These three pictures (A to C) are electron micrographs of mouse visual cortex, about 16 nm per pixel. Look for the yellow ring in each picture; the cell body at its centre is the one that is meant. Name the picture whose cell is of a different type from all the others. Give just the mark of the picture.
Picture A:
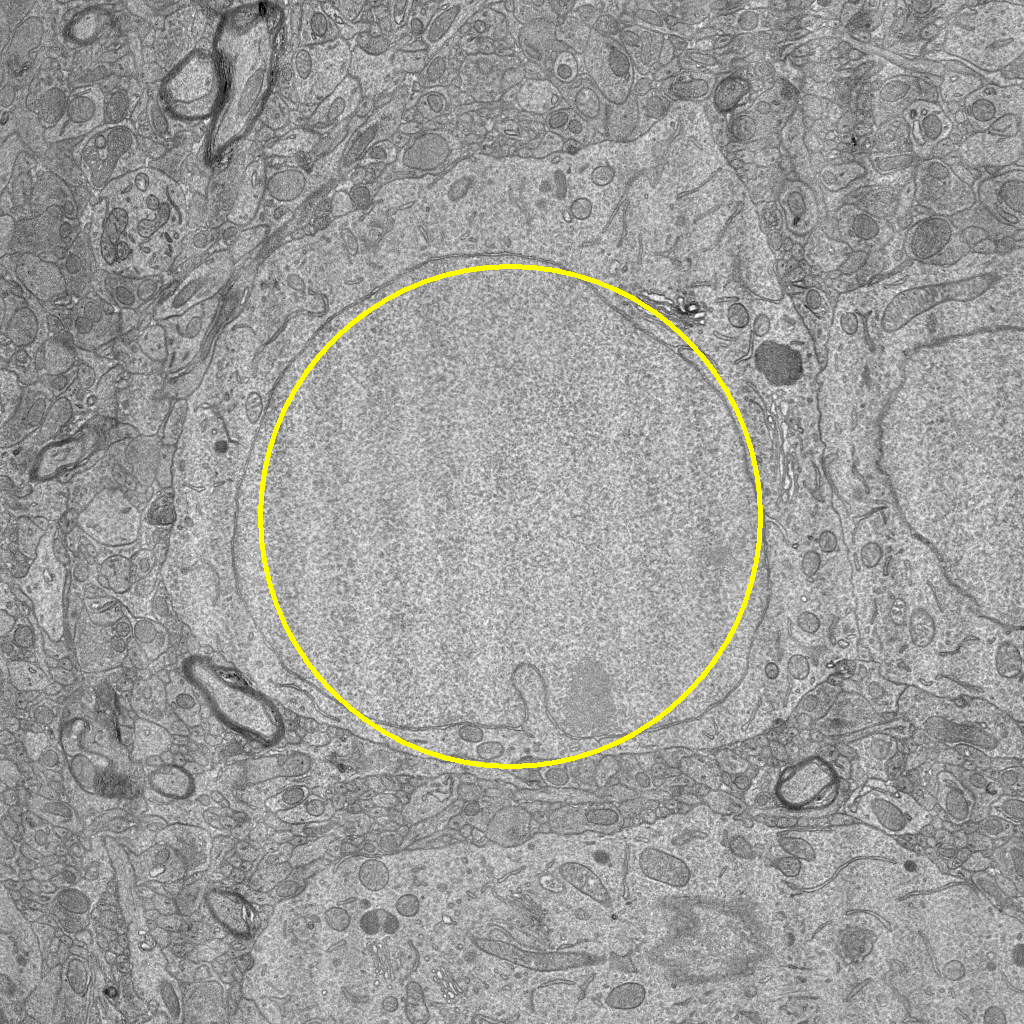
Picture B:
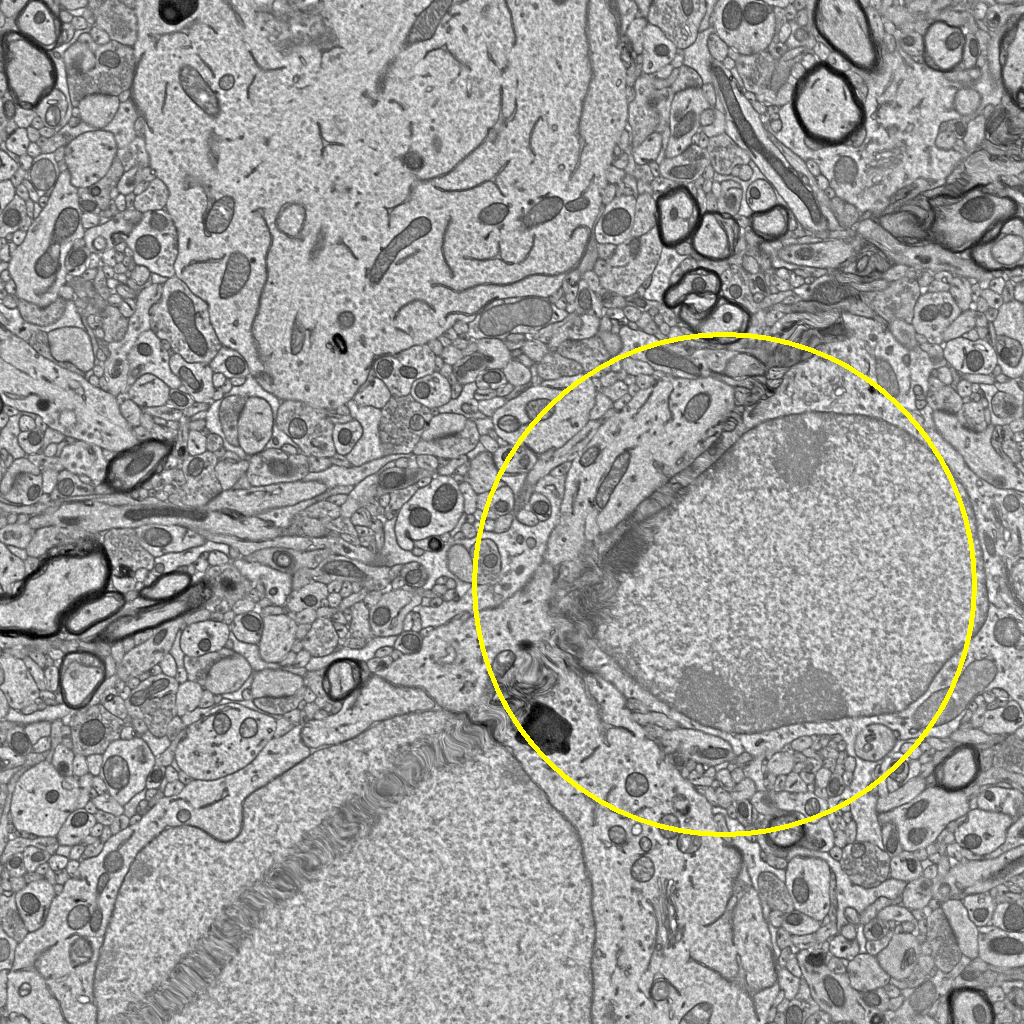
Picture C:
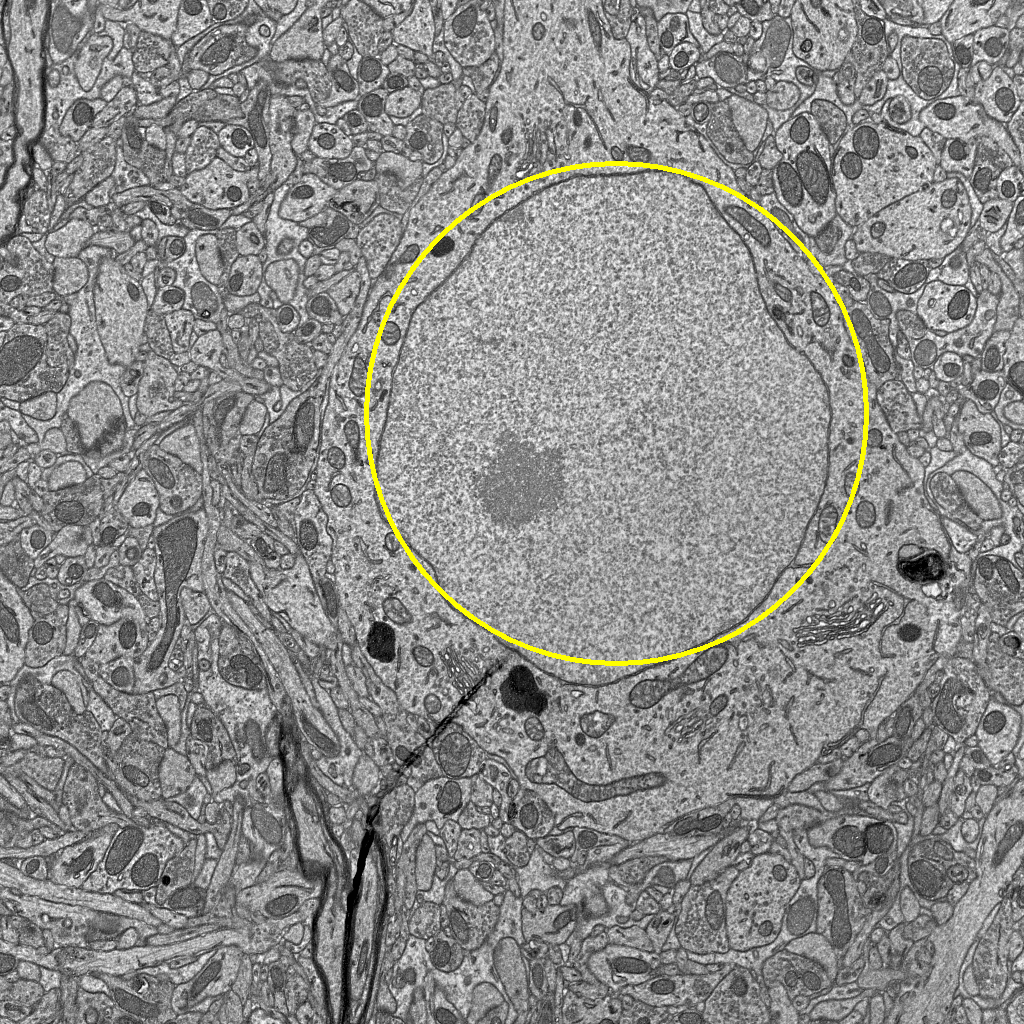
B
